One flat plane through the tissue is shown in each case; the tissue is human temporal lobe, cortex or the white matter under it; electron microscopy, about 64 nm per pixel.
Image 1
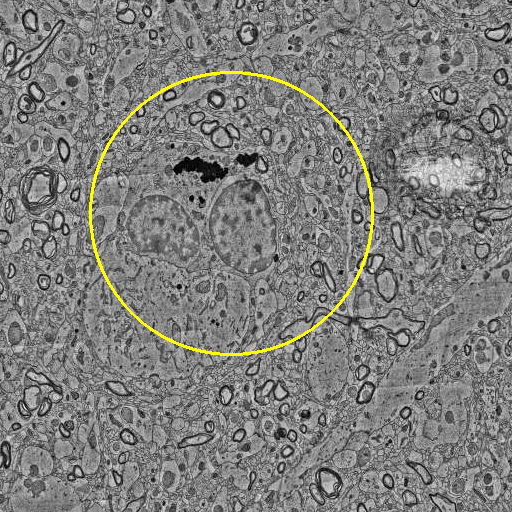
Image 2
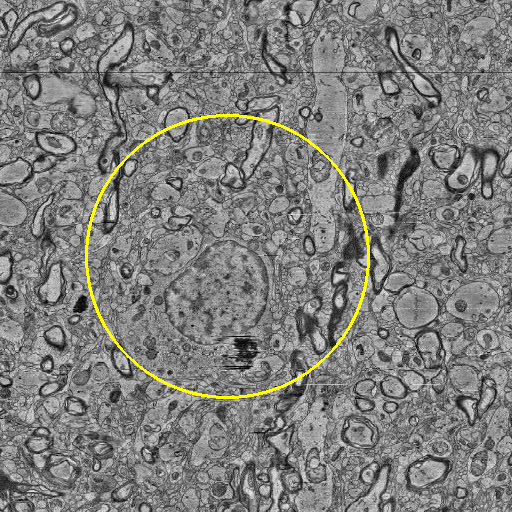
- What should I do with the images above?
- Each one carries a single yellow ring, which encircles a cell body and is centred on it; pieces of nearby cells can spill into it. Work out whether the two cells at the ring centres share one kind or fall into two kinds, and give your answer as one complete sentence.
The ring-centre cells of Image 1 and Image 2 share one kind.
